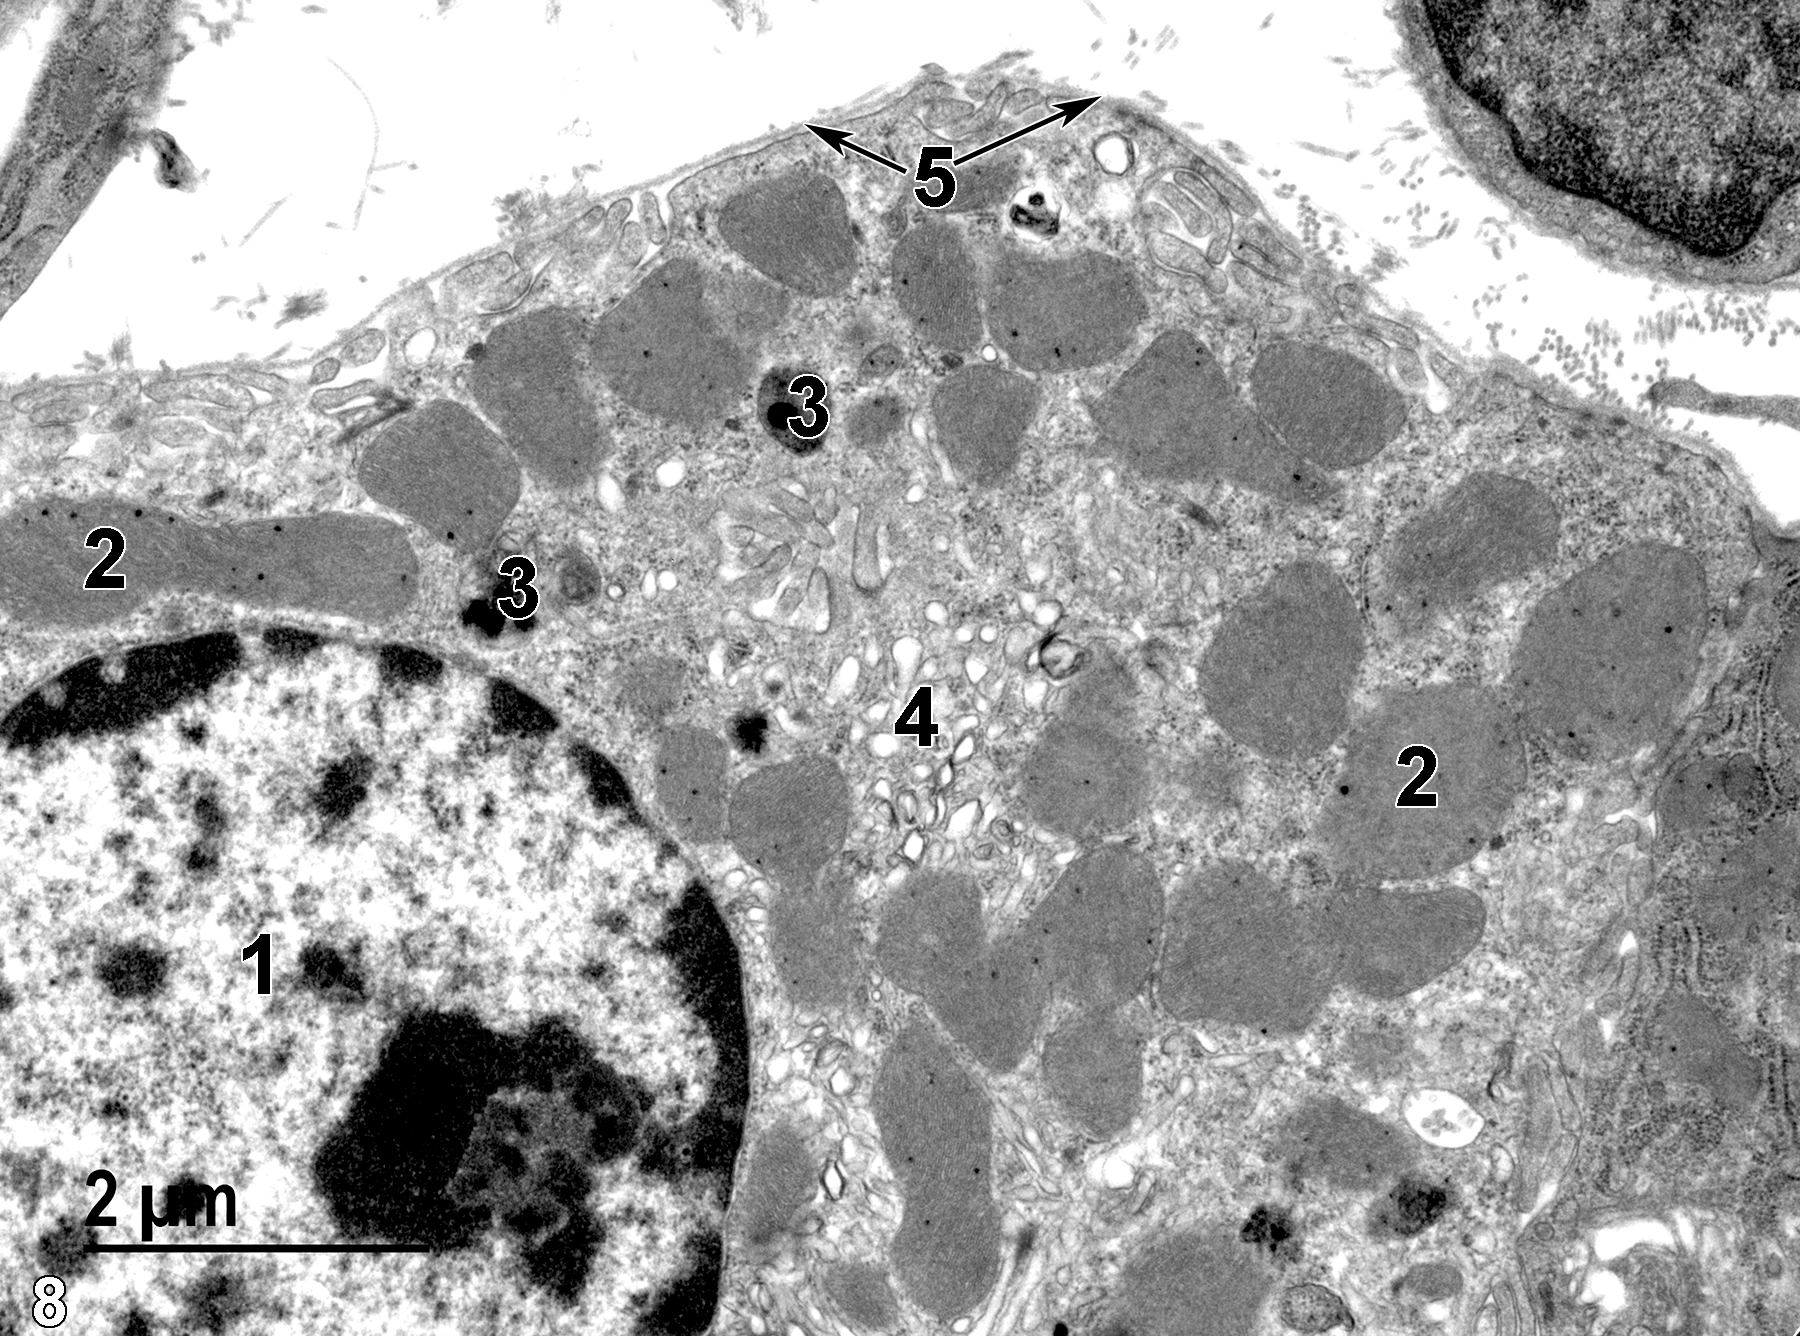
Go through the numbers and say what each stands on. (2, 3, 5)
2: mitochondria
3: lysosomes
5: basal lamina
